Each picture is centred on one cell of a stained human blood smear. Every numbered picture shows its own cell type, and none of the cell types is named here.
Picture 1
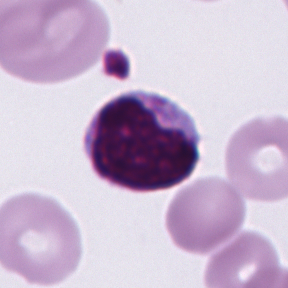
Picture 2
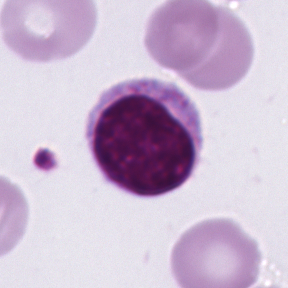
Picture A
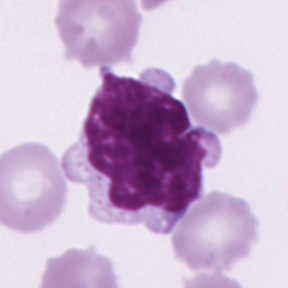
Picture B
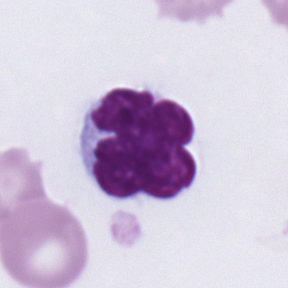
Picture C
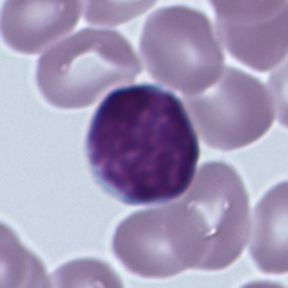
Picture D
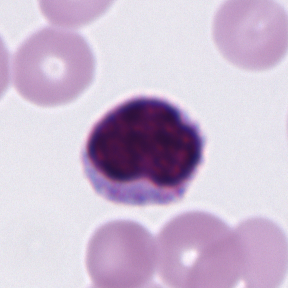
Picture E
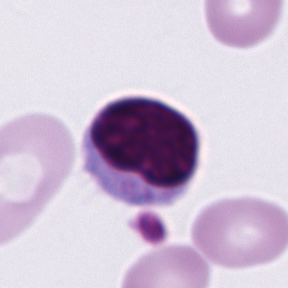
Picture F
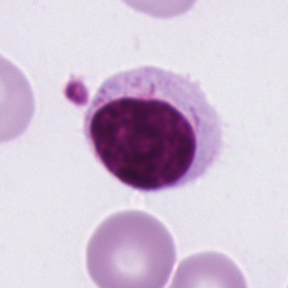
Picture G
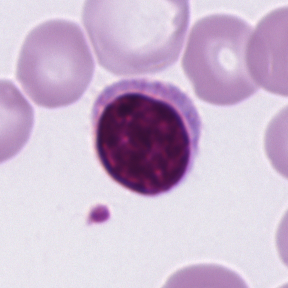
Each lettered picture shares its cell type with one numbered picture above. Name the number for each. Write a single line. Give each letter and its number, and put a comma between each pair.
A 2, B 1, C 1, D 2, E 1, F 2, G 2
